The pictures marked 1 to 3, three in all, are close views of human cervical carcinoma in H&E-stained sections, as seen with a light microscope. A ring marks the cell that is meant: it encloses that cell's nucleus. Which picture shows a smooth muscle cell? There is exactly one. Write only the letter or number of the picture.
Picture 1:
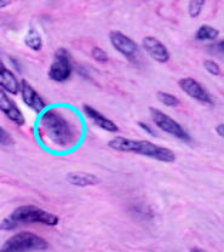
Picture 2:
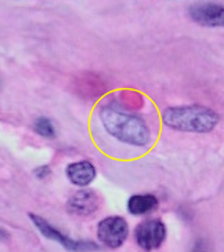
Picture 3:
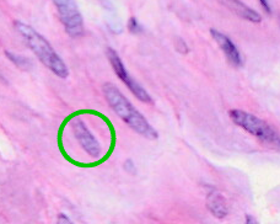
3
